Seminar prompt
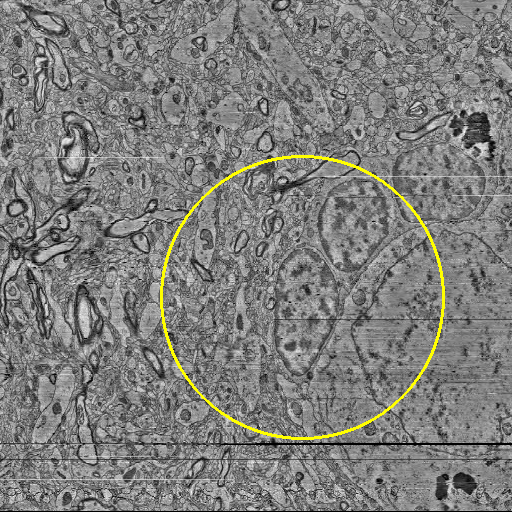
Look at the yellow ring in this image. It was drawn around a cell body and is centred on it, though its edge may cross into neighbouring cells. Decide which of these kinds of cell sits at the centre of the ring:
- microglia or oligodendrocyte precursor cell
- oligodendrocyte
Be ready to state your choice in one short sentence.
The kind of cell at the ring's centre is an oligodendrocyte.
